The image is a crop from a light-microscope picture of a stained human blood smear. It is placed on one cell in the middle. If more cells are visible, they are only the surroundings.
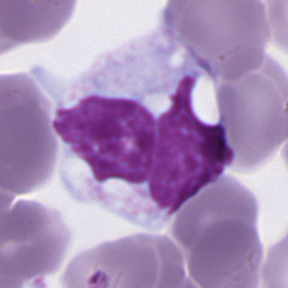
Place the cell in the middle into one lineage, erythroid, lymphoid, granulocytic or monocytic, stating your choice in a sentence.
The cell right in the center of the crop is part of the monocytic line.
